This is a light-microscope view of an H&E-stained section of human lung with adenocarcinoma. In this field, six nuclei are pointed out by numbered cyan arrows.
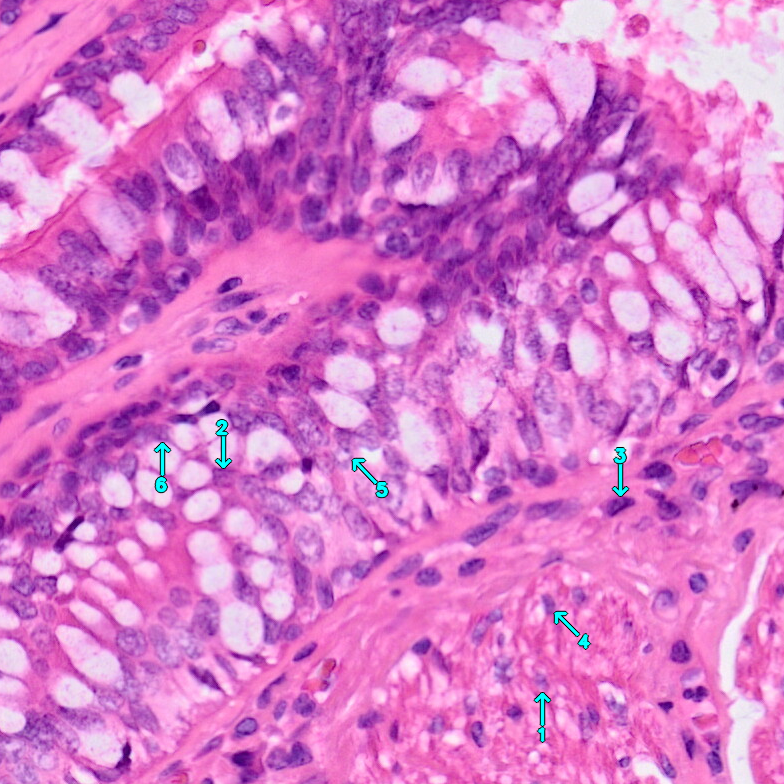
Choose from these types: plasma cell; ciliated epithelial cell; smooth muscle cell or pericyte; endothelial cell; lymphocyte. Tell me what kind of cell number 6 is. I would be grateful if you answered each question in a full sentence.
The numbered cell 6 in this field is a ciliated epithelial cell.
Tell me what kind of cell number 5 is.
Heads up, the cell numbered 5 is a ciliated epithelial cell.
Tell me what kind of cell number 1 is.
Numbered cell 1 is a smooth muscle cell or pericyte in this tissue section.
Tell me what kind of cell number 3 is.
Among the marked nuclei, number 3 belongs to a plasma cell.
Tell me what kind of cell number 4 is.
The marked nucleus 4 is that of a smooth muscle cell or pericyte.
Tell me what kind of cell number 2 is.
Marked with the number 2, this cell is a ciliated epithelial cell.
